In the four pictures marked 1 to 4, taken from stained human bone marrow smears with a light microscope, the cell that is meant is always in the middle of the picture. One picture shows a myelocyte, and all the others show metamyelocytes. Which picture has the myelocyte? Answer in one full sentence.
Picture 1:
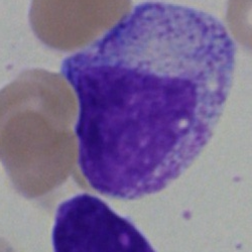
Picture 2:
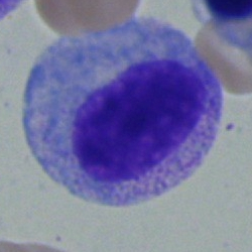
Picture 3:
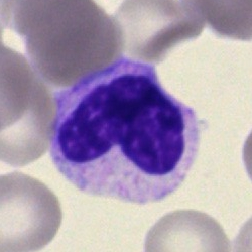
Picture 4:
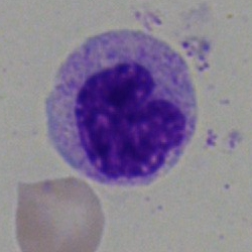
It is picture 1 that shows the myelocyte.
